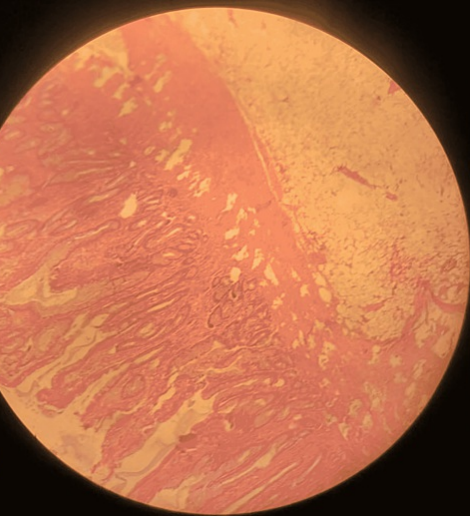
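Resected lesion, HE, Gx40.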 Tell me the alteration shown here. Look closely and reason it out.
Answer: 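On the left lies pink mucosa with tubular glands cut in various planes. On the upper right lies a pale sheet of empty, rounded vacuoles with thin walls. So: proliferation of mature adipocytes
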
